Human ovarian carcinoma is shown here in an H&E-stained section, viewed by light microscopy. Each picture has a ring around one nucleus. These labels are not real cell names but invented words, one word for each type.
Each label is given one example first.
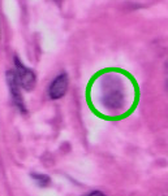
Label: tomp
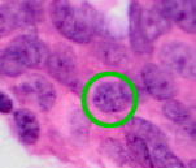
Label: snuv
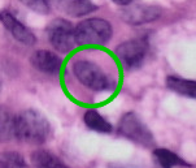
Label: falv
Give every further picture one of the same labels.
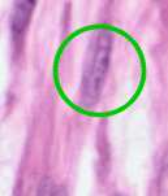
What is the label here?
tomp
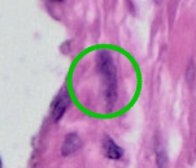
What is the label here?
tomp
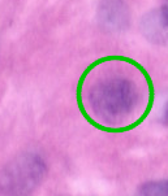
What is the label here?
tomp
